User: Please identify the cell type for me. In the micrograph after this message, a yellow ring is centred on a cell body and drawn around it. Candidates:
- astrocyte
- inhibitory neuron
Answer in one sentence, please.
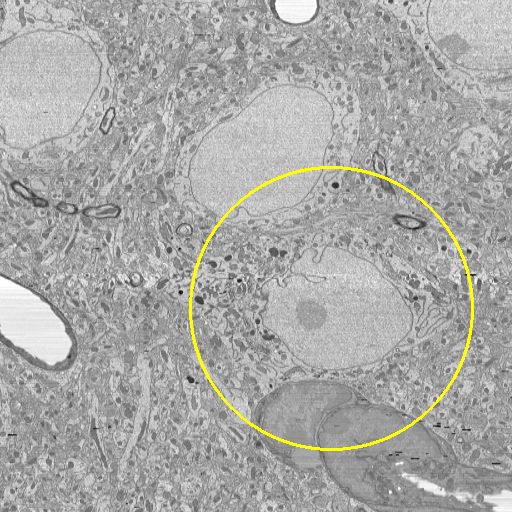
The ring is drawn around the cell body of an inhibitory neuron.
